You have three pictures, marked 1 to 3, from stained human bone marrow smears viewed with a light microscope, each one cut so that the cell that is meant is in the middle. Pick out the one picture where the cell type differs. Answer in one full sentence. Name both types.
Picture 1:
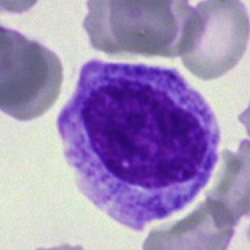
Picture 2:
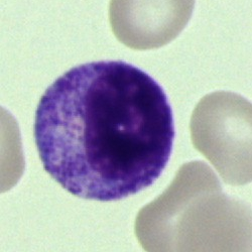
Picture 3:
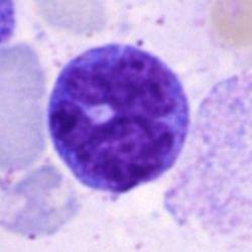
All pictures except 3 show myelocytes; picture 3 shows a monocyte.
